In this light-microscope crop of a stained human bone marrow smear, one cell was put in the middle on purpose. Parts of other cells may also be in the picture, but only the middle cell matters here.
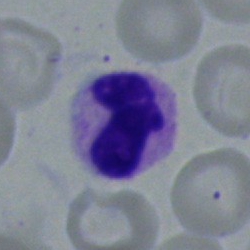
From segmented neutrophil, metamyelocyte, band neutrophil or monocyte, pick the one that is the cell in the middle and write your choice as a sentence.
Answering briefly, the cell in the middle is a band neutrophil.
